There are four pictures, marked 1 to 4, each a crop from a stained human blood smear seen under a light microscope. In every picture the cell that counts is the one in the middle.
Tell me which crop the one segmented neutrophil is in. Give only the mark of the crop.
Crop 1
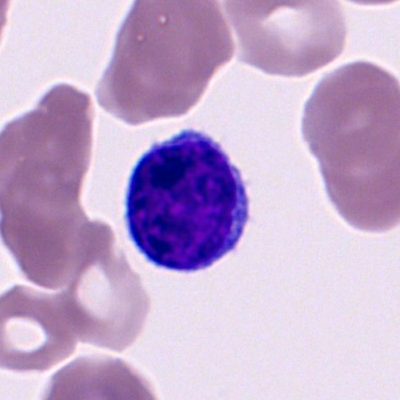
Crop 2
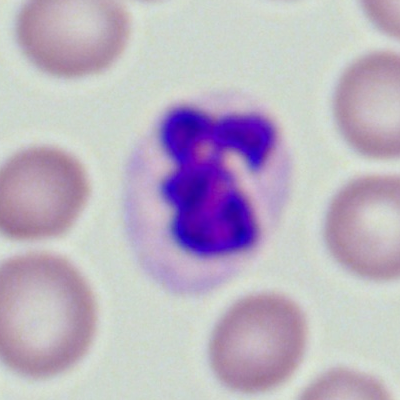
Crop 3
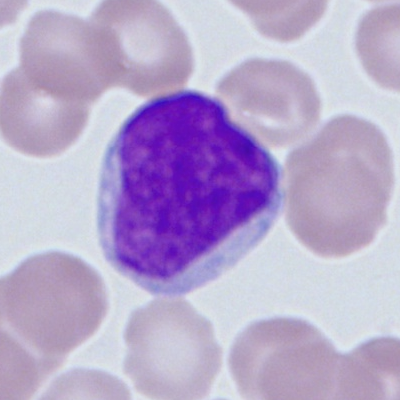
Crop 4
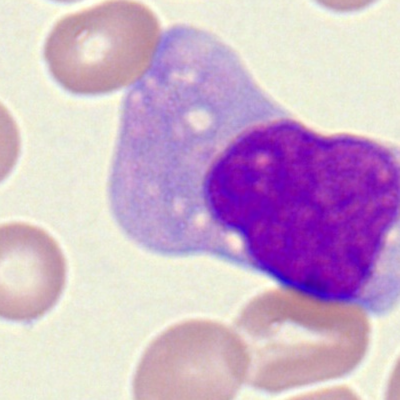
2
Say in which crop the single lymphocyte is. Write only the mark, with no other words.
1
